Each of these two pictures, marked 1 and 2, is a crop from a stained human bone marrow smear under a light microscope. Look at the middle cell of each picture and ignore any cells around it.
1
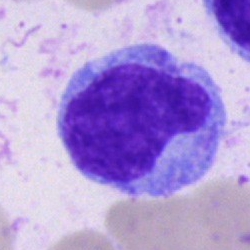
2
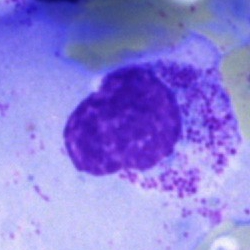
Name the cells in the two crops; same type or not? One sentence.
No, at the centre of crop 1 is a plasma cell, and at the centre of crop 2 is a myelocyte.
